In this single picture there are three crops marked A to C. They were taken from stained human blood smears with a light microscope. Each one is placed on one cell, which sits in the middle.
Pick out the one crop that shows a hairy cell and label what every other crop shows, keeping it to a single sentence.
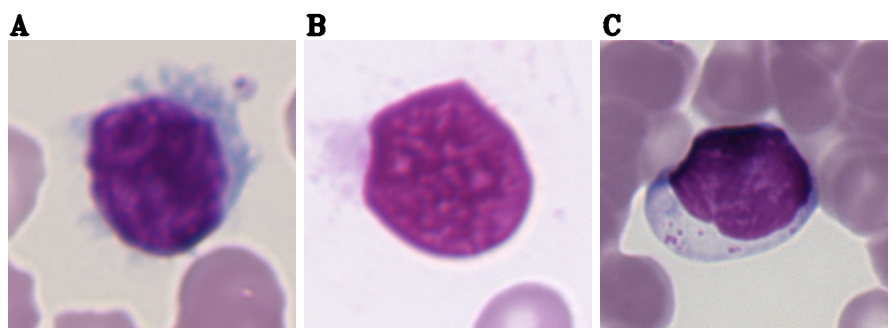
The cell in crop A is a hairy cell, while crop B is a smudge cell and crop C is a large granular lymphocyte.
